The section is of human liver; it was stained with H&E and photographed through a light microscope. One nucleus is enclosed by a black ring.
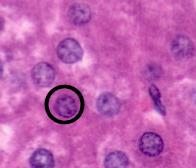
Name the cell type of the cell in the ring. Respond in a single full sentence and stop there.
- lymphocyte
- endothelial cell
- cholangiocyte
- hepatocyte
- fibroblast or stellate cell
In cellular terms, the cell in the ring is a hepatocyte.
